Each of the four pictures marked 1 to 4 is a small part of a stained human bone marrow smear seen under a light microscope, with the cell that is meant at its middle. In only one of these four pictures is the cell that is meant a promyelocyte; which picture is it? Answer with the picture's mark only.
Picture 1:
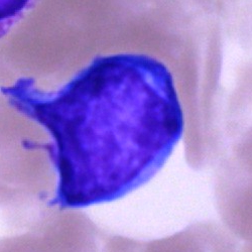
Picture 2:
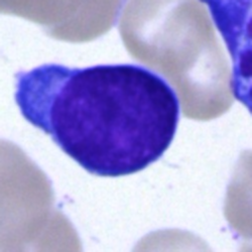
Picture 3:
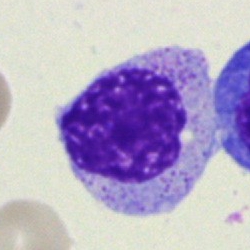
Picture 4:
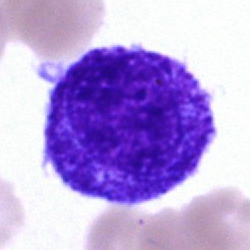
4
